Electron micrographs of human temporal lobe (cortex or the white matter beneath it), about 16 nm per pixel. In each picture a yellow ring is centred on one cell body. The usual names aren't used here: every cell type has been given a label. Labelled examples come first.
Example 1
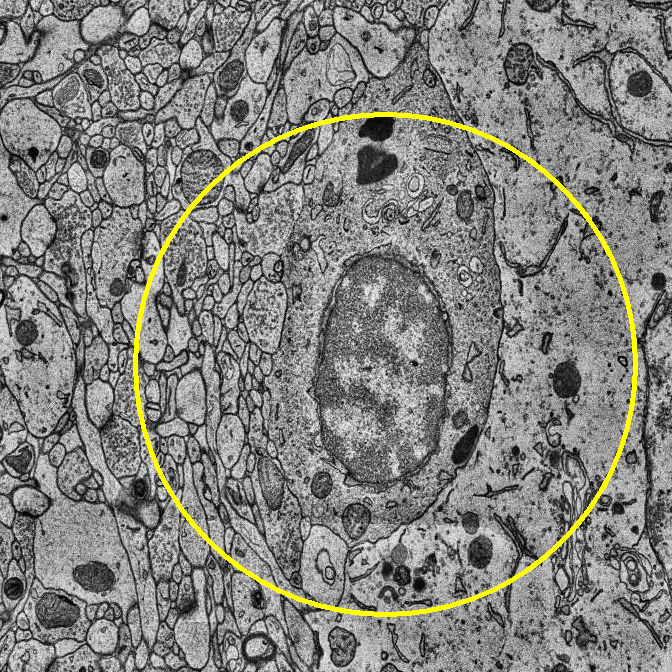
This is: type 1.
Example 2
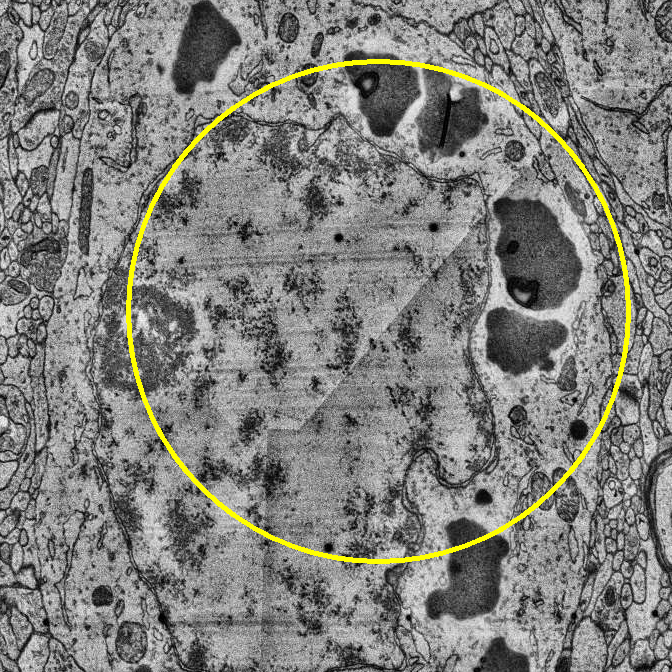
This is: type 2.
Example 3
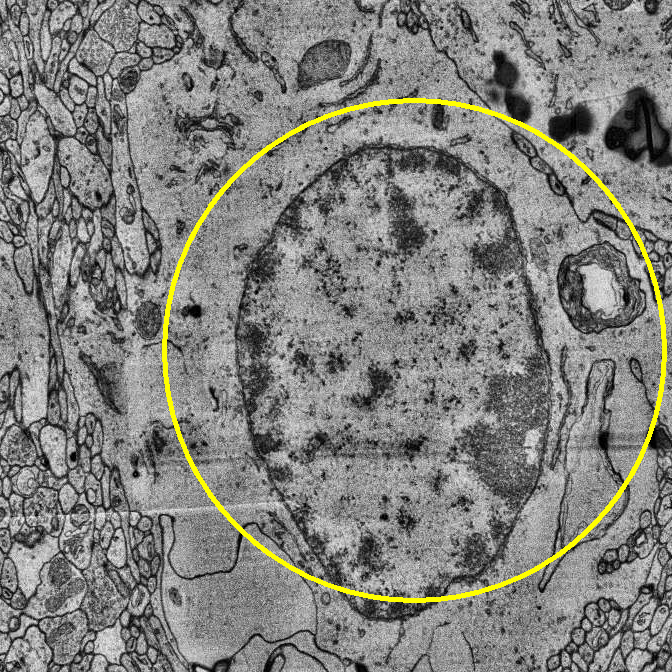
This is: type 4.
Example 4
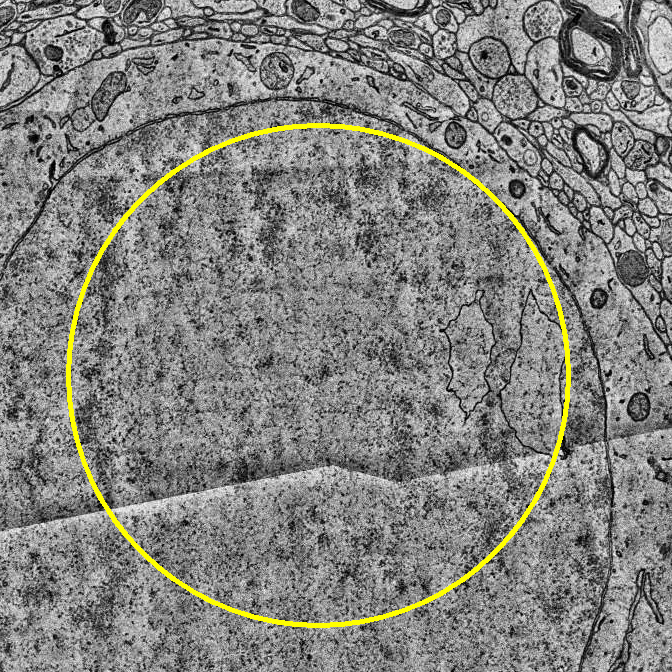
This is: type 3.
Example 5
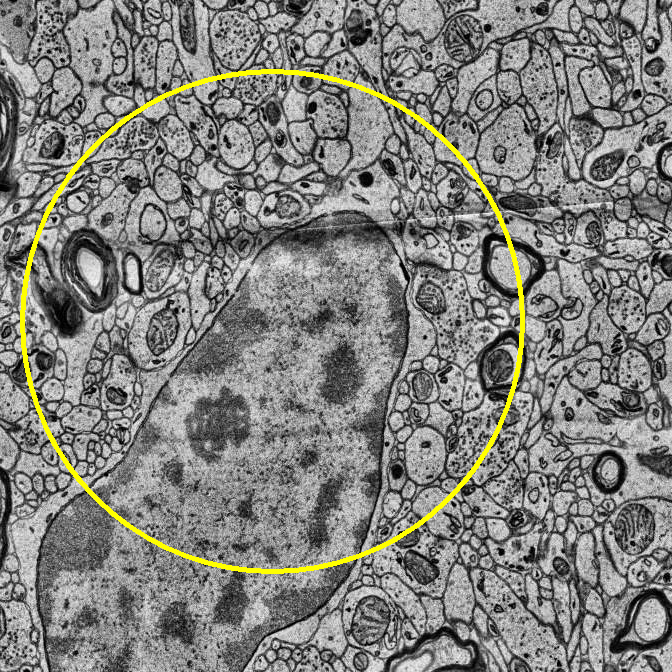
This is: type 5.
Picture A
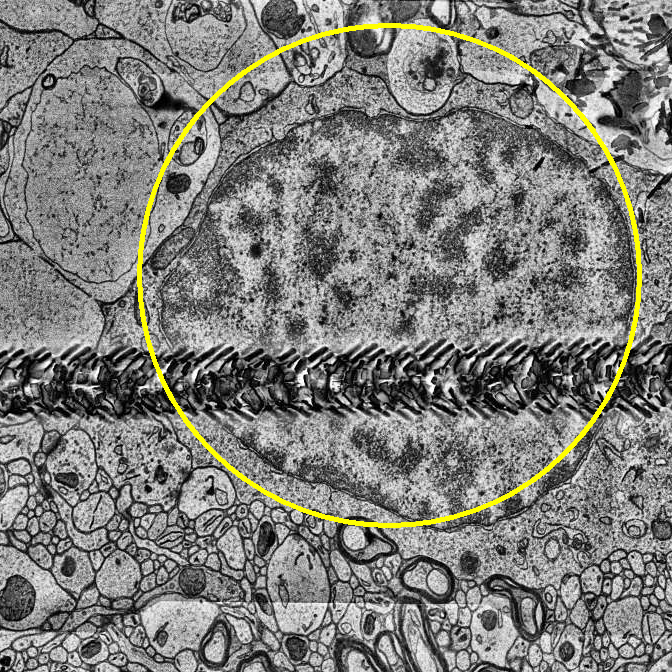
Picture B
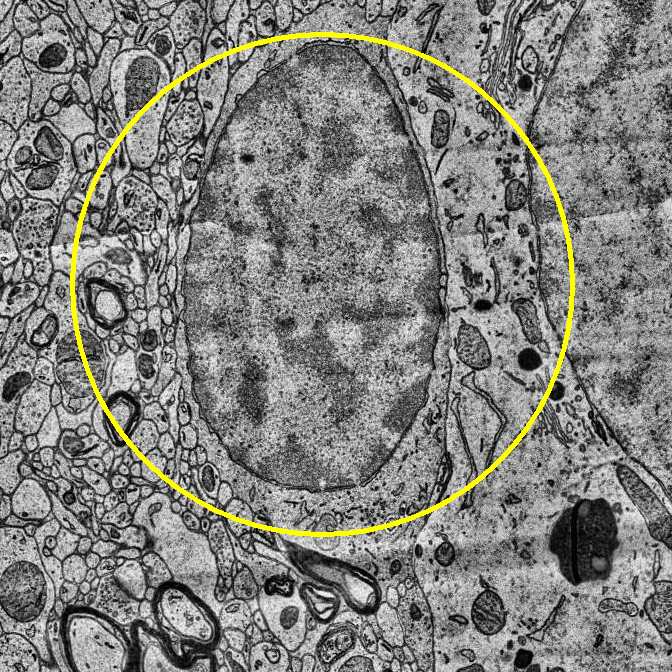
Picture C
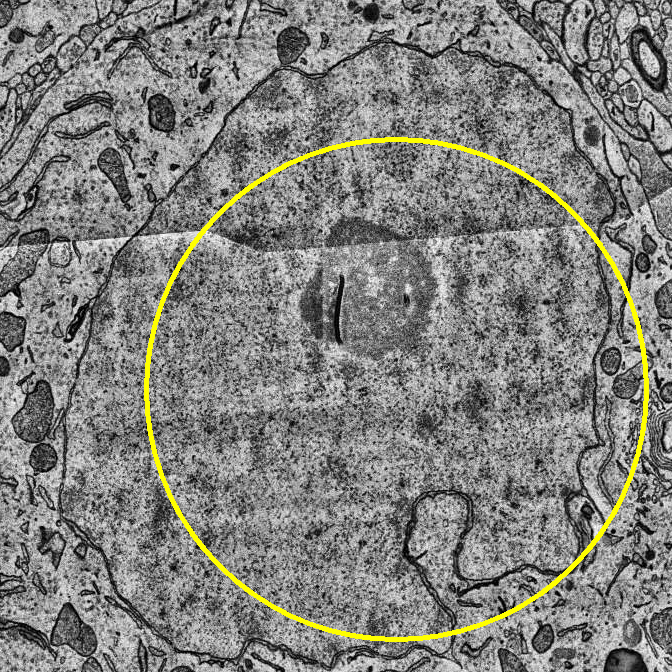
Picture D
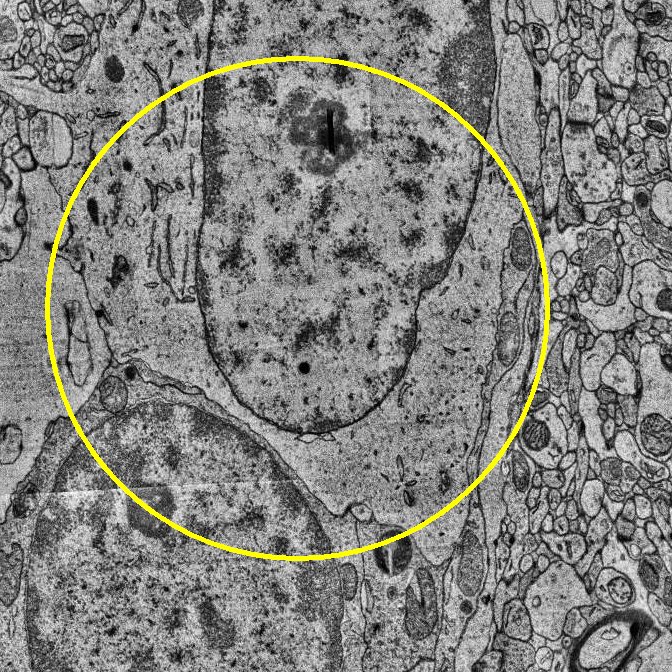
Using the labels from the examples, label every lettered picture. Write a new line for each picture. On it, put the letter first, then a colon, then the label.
A: type 1.
B: type 1.
C: type 2.
D: type 5.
